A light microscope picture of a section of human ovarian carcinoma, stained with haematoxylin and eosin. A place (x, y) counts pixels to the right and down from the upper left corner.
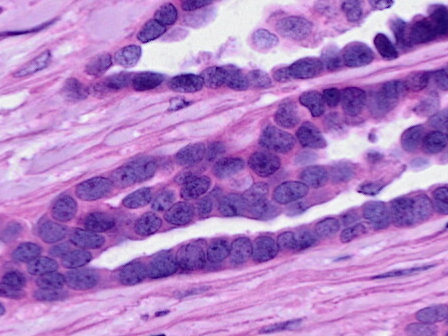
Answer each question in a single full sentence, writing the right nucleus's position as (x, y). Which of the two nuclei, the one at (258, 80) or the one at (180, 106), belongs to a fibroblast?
The nucleus belonging to a fibroblast is the one at (180, 106).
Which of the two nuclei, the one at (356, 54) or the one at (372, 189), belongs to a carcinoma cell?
Identified as belonging to a carcinoma cell is the nucleus at (356, 54).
